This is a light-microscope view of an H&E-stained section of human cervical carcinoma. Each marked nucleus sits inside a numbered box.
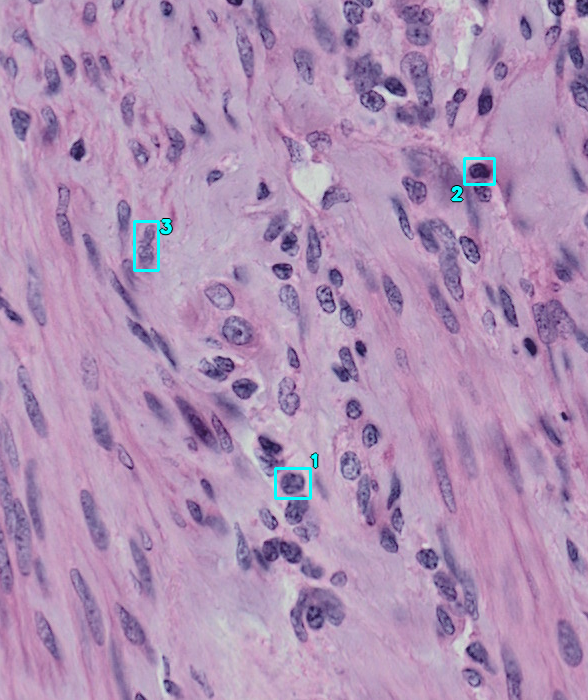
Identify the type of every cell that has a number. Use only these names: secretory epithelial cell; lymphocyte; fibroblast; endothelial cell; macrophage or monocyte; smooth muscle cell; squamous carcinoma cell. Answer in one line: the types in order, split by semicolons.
lymphocyte; lymphocyte; smooth muscle cell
